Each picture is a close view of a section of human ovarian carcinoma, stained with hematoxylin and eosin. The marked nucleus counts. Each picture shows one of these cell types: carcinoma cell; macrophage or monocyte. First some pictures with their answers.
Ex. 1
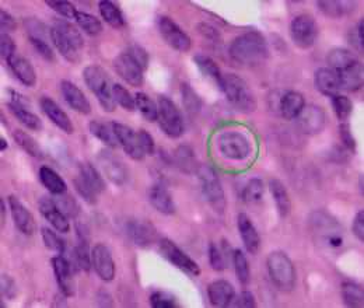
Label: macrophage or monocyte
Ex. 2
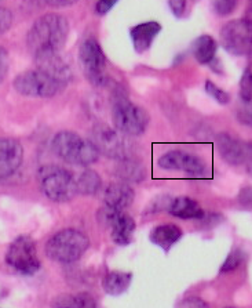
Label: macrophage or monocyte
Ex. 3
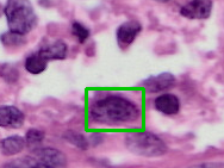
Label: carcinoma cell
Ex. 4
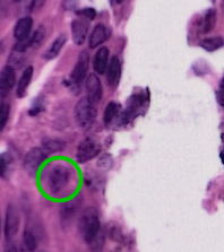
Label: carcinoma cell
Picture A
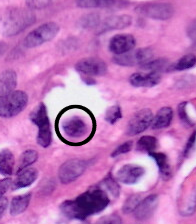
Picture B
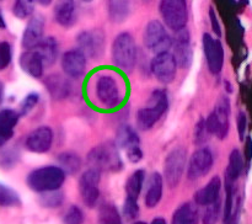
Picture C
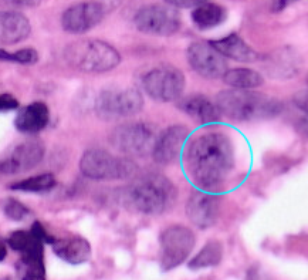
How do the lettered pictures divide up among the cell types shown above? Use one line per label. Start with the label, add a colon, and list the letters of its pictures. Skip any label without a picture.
carcinoma cell: A, B, C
